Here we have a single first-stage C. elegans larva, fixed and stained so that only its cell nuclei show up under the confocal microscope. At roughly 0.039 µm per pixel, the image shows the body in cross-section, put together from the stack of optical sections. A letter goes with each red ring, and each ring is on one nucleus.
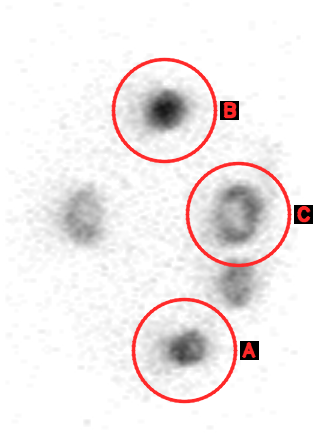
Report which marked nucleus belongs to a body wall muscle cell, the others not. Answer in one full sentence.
Nucleus A belongs to a body wall muscle cell.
